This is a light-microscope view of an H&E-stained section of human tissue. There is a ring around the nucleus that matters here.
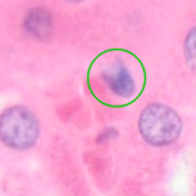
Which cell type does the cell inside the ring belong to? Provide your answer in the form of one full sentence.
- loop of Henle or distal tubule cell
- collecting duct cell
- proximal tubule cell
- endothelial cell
Assigned to a cell type, the cell inside the ring is an endothelial cell.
